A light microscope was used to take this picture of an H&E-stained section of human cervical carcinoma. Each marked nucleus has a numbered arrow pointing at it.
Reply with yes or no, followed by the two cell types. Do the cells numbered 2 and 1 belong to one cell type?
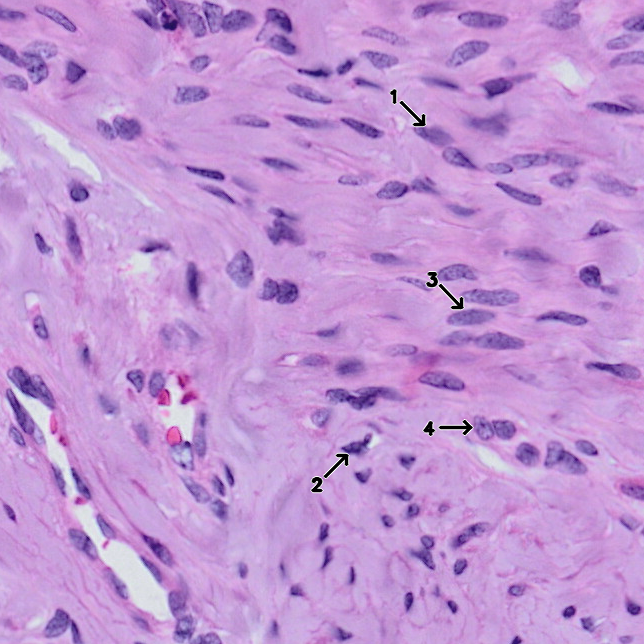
Yes, the two cells marked 2 and 1 are both fibroblasts.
